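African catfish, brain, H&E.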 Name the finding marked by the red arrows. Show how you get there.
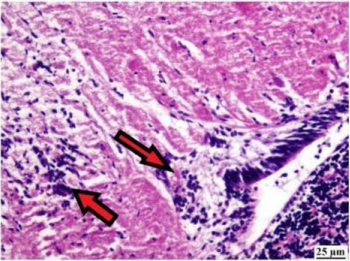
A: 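Focal gliosis. Small dark round nuclei gather in clusters within the pink fibrous tissue. The clusters are focal rather than spread evenly.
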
